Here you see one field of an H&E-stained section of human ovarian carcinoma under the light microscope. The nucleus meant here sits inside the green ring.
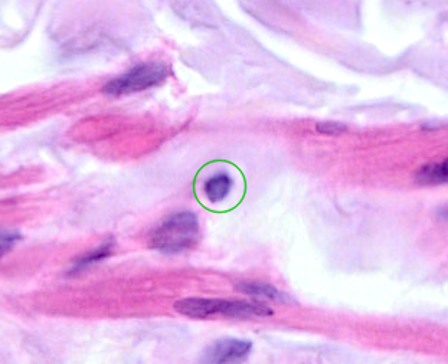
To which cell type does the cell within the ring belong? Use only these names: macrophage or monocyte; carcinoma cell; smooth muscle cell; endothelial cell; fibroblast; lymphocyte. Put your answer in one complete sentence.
This is a lymphocyte.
